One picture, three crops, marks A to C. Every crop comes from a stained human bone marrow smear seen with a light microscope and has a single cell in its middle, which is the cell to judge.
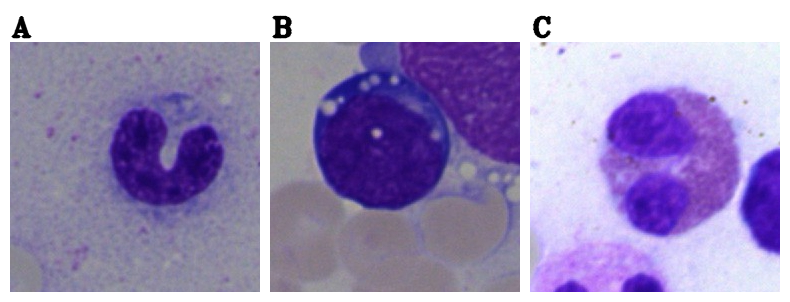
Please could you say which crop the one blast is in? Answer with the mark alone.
B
